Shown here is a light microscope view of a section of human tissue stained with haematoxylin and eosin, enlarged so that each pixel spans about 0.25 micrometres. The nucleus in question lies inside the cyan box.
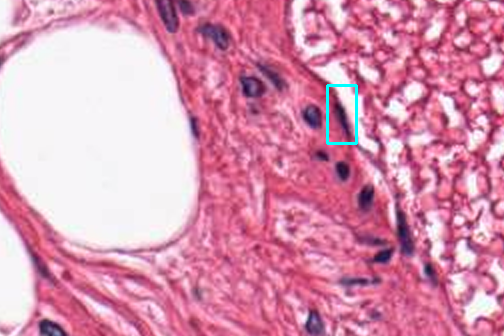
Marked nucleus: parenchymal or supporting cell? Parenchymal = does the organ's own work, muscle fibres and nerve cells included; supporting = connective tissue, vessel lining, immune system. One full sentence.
The marked nucleus is the nucleus of a supporting cell in this section.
